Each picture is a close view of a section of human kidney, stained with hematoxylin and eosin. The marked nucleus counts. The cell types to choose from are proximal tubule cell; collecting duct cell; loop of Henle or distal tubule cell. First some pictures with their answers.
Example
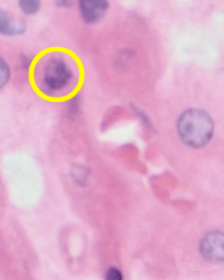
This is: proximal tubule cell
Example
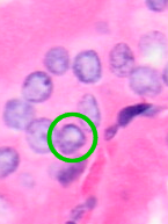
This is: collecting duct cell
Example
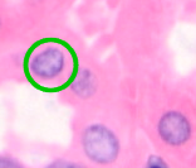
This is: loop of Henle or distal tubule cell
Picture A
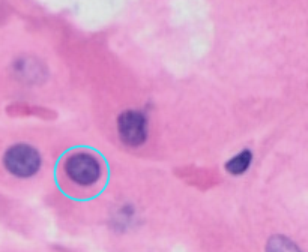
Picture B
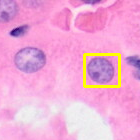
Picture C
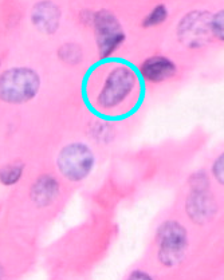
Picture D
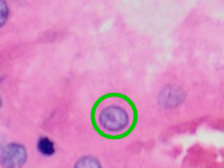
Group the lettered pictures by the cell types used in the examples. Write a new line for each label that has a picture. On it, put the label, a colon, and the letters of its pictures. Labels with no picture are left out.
proximal tubule cell: A, B, D
collecting duct cell: C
